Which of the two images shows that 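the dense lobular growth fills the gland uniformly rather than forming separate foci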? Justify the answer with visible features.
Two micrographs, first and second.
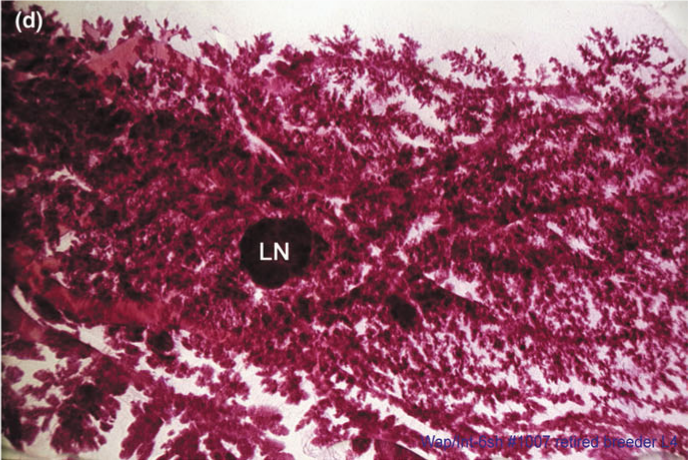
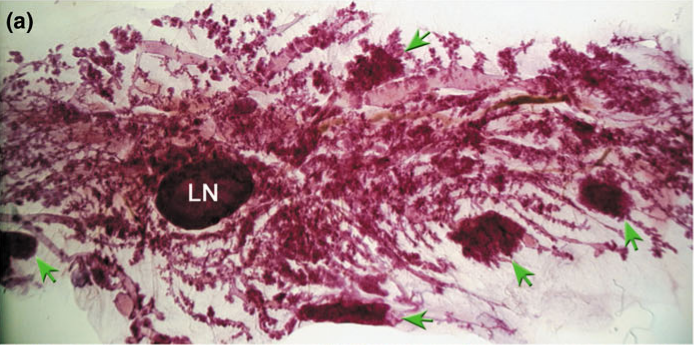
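The first image. First image: dense dark lobular clusters cover nearly the whole gland. Second image: a few separate dark clusters lie scattered among thinner branching ducts.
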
